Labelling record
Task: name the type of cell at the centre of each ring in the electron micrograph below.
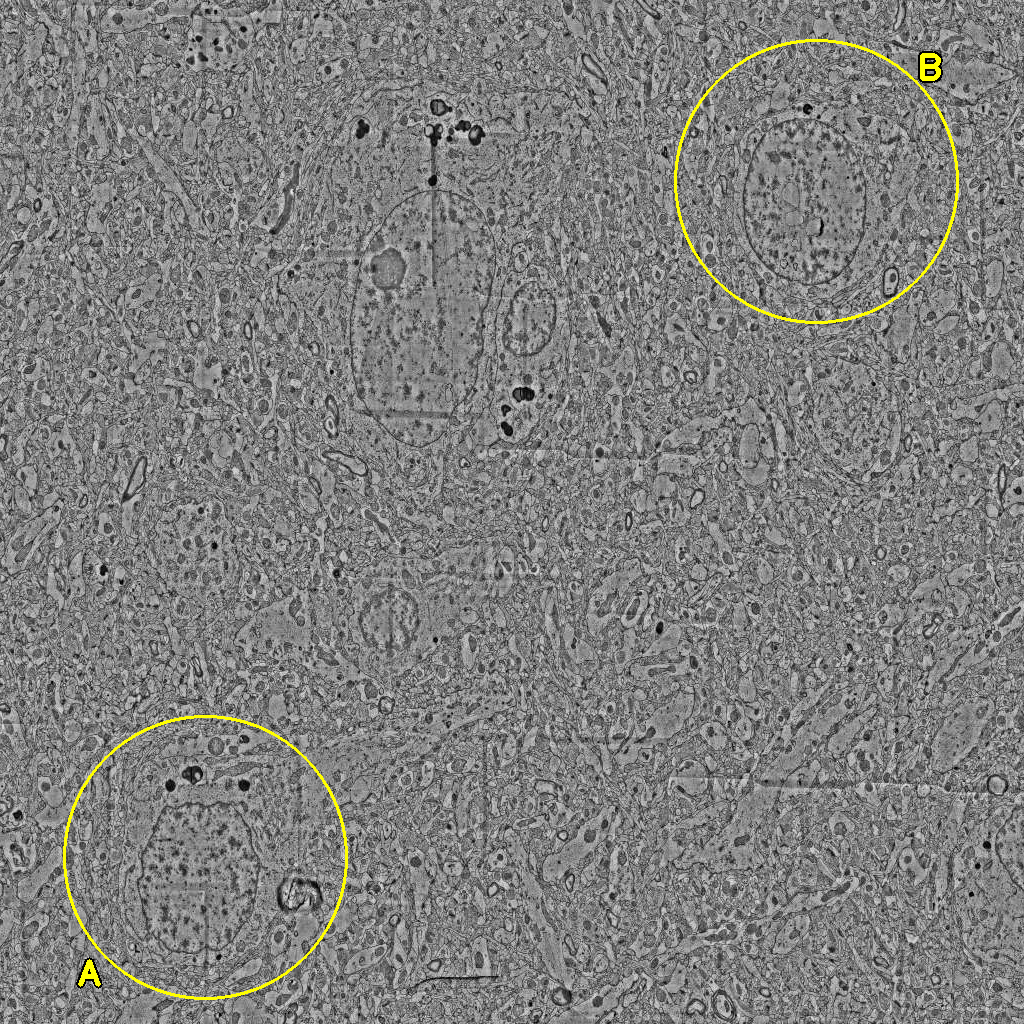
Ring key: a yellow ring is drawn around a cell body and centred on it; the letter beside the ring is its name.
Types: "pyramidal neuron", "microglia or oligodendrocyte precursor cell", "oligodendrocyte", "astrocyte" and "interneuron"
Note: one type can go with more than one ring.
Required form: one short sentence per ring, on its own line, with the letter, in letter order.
In ring A, the centred cell is a pyramidal neuron.
In ring B, the centred cell is a pyramidal neuron.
